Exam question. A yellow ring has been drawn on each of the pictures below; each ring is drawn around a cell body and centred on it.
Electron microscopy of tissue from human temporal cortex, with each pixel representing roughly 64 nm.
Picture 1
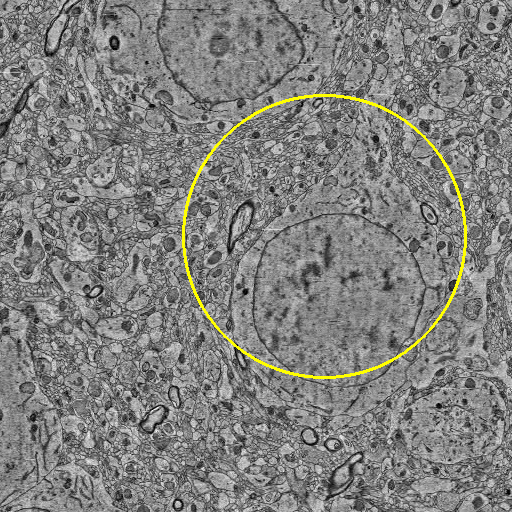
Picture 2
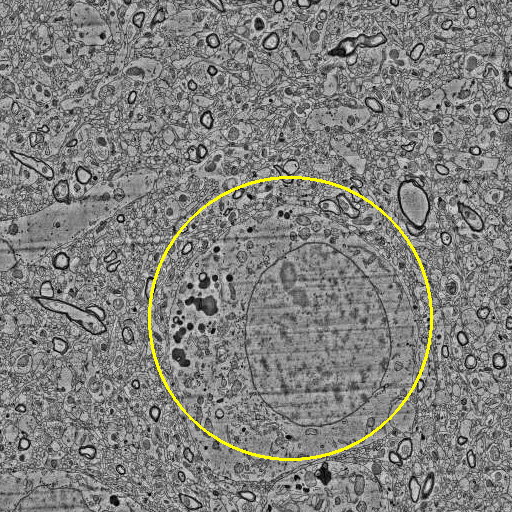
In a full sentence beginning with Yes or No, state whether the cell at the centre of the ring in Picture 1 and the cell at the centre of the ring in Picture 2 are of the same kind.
Yes, the two cells are of the same kind.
